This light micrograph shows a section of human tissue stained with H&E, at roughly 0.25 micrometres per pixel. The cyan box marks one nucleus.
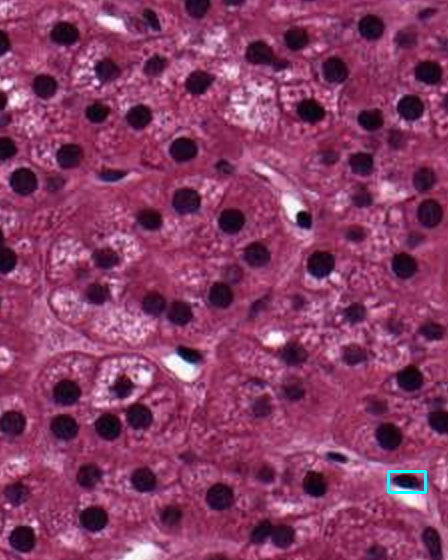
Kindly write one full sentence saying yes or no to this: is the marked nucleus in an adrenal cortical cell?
No, a supporting cell rather than an adrenal cortical cell is the cell of the marked nucleus.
